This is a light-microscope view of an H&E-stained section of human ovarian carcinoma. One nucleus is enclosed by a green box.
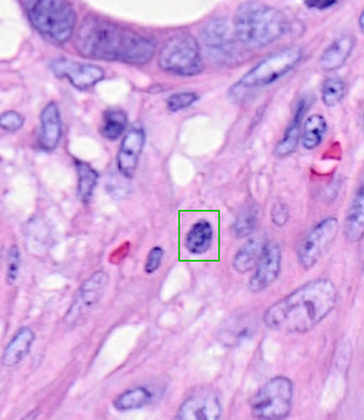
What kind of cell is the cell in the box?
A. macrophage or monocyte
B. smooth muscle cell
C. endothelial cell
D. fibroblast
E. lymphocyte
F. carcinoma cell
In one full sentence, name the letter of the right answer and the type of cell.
Given that the cell in the box is a lymphocyte, option E is the correct one.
